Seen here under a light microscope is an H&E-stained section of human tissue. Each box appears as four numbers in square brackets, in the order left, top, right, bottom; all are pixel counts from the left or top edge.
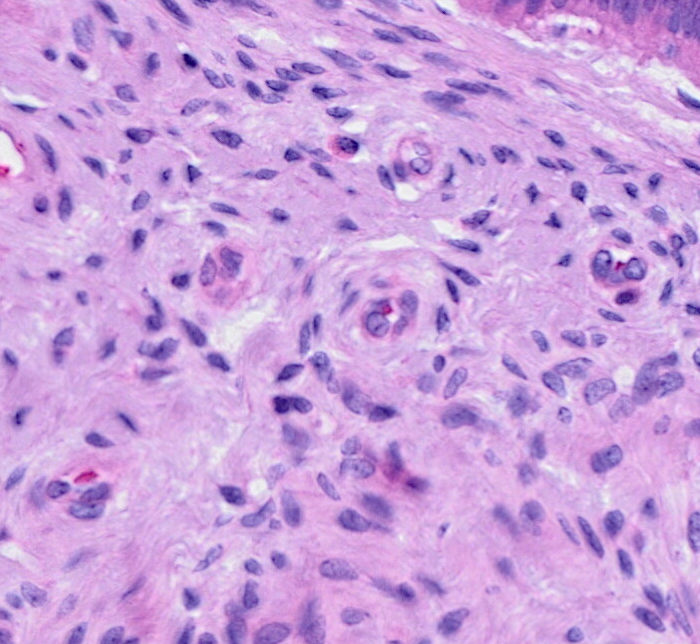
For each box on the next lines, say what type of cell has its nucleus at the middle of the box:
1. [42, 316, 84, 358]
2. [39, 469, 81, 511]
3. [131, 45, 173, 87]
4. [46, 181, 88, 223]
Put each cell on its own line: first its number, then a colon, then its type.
1: fibroblast
2: endothelial cell
3: fibroblast
4: fibroblast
